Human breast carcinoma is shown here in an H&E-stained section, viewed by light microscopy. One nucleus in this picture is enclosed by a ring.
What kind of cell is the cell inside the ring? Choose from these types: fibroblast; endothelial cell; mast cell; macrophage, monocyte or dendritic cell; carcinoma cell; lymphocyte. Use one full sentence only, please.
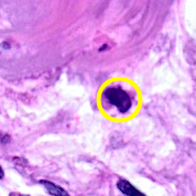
On this particular slide, the cell inside the ring is a macrophage, monocyte or dendritic cell.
